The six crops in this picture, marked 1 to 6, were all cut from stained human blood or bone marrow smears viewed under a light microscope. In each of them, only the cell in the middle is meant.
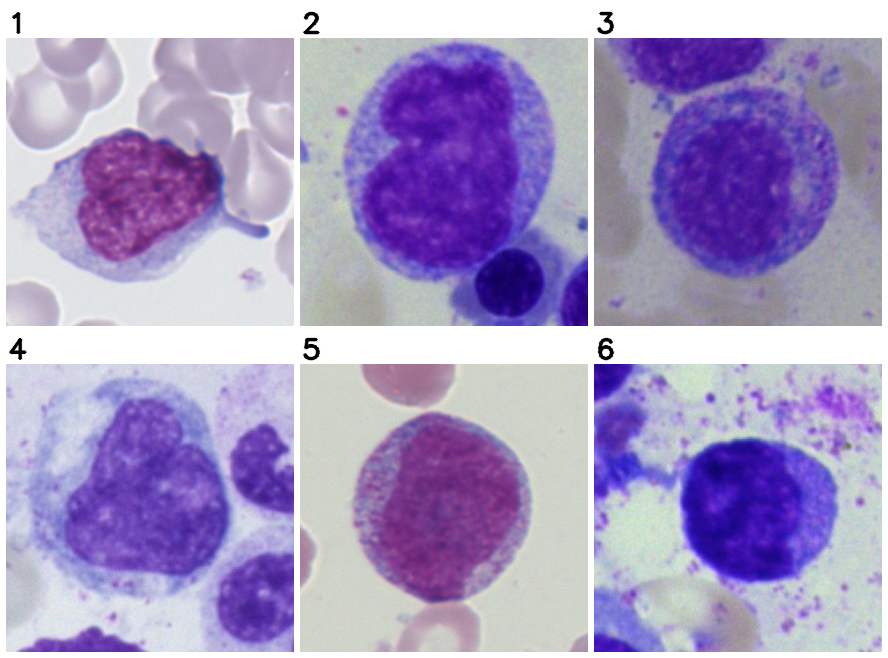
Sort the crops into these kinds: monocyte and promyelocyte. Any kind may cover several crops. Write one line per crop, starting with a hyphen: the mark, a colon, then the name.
- 1: monocyte
- 2: monocyte
- 3: promyelocyte
- 4: monocyte
- 5: promyelocyte
- 6: monocyte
